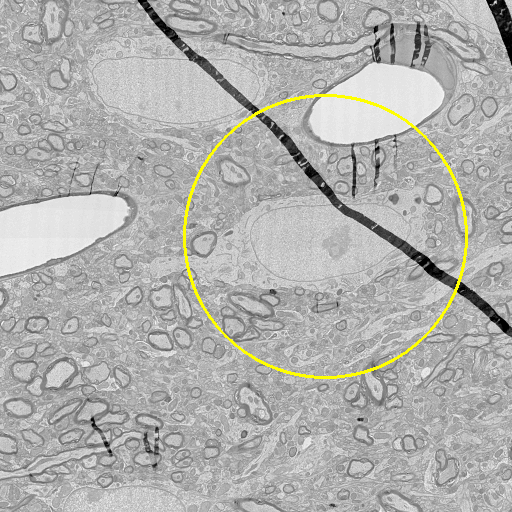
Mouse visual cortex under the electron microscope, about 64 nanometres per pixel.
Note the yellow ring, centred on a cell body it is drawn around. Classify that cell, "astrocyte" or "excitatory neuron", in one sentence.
The cell the ring is centred on is an excitatory neuron.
